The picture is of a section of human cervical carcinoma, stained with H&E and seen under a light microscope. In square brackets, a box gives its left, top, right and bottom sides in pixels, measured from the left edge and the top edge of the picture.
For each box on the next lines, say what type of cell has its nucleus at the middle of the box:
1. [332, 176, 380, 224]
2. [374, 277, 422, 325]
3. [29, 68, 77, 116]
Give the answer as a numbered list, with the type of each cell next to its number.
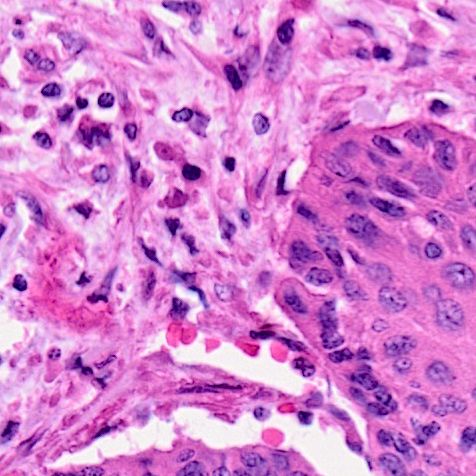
1. squamous carcinoma cell
2. squamous carcinoma cell
3. lymphocyte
